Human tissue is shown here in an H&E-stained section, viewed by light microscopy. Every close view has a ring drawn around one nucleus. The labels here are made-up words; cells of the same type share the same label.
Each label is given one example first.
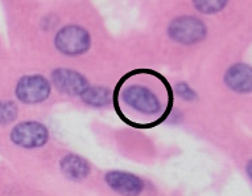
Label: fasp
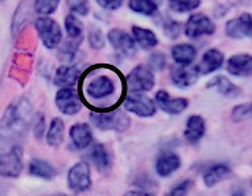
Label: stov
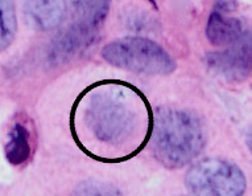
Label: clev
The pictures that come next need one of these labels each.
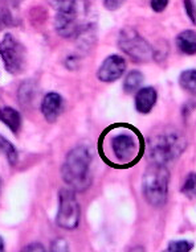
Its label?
stov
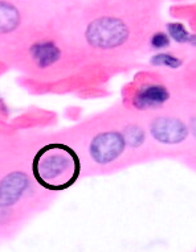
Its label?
fasp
